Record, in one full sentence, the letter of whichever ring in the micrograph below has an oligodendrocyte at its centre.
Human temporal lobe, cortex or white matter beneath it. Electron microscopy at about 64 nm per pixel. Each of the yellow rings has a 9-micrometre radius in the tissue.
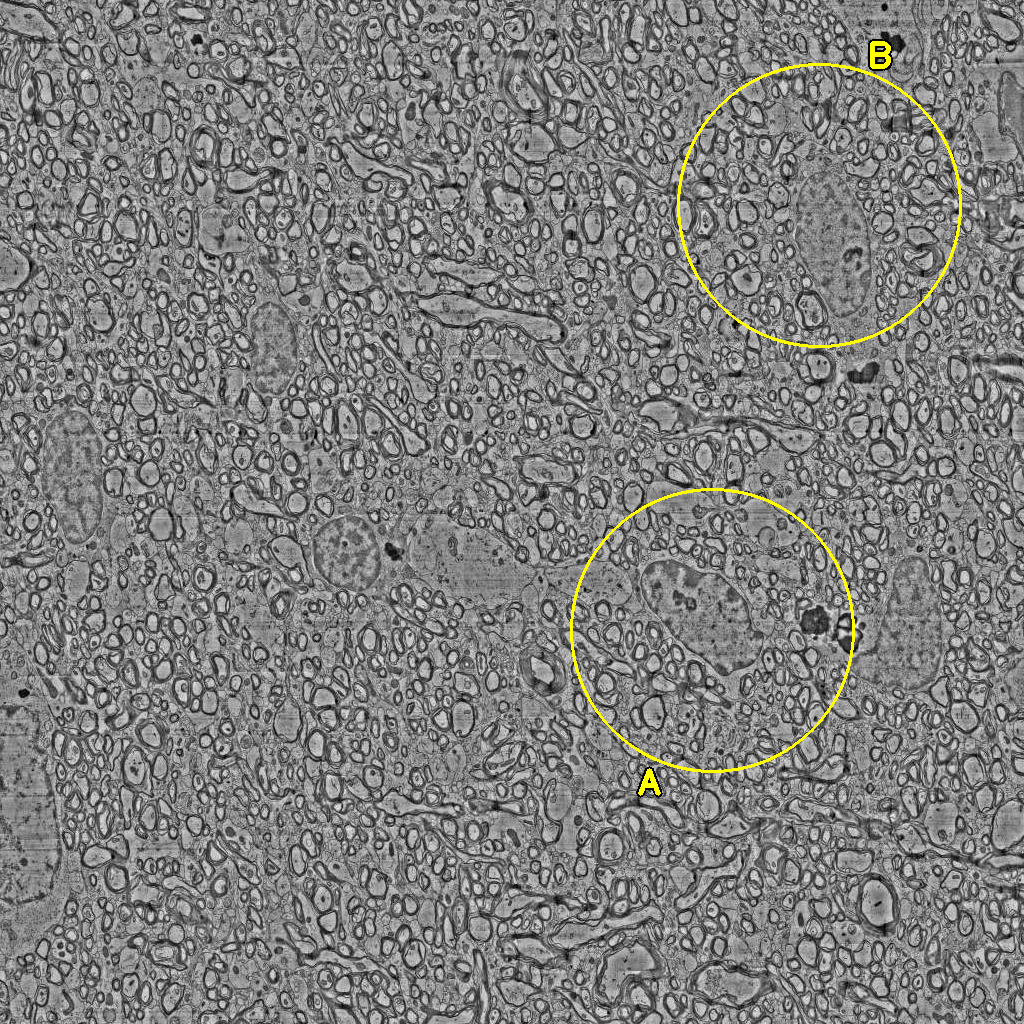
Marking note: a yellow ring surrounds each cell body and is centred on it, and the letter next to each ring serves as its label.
For the cell asked for, the ring centred on it carries the letter B.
